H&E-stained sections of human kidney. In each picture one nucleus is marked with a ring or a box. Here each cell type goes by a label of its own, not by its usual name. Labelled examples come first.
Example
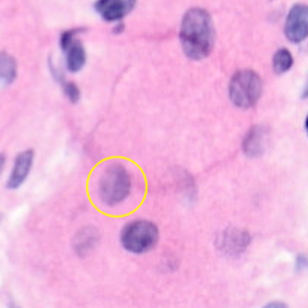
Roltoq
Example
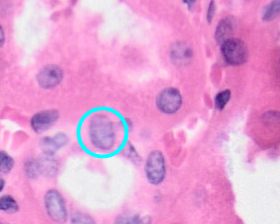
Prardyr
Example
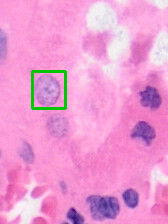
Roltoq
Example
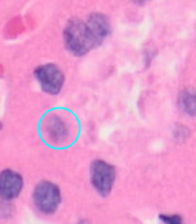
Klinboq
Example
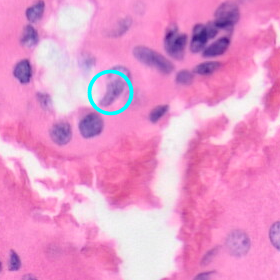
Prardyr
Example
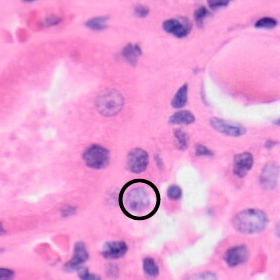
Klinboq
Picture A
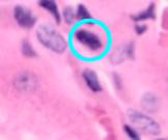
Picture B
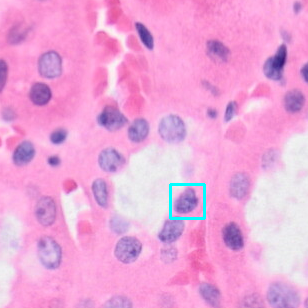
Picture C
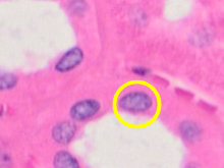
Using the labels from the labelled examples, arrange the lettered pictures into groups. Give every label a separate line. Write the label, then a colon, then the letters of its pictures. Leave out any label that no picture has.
Prardyr: A
Klinboq: B, C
